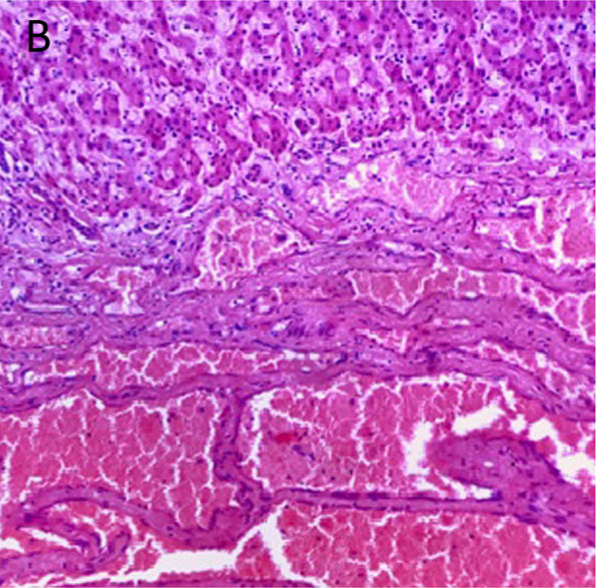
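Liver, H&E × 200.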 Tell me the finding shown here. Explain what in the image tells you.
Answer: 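Large spaces in the lower half are packed with red blood cells. Thin pink fibrous walls separate the blood-filled spaces. The blood-filled spaces border a band of polygonal cells with pink cytoplasm at the top. That points to this answer: dilated blood vessels.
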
